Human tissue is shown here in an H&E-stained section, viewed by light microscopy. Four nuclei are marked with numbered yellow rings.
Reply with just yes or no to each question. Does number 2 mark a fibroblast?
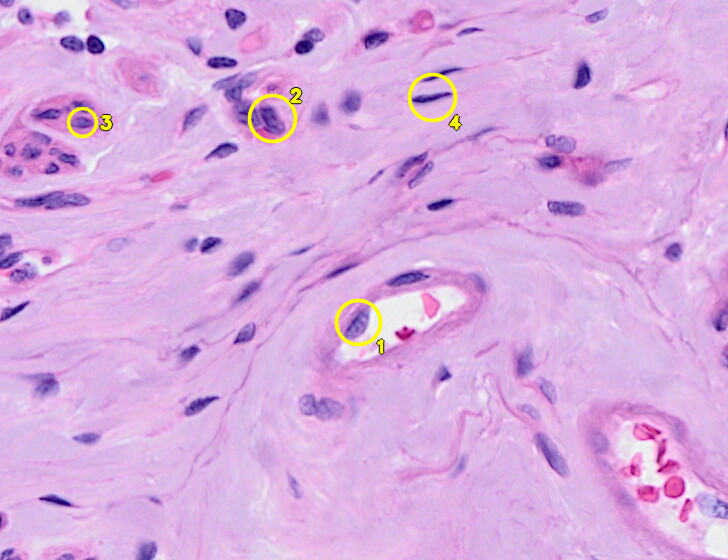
no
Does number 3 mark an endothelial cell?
no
